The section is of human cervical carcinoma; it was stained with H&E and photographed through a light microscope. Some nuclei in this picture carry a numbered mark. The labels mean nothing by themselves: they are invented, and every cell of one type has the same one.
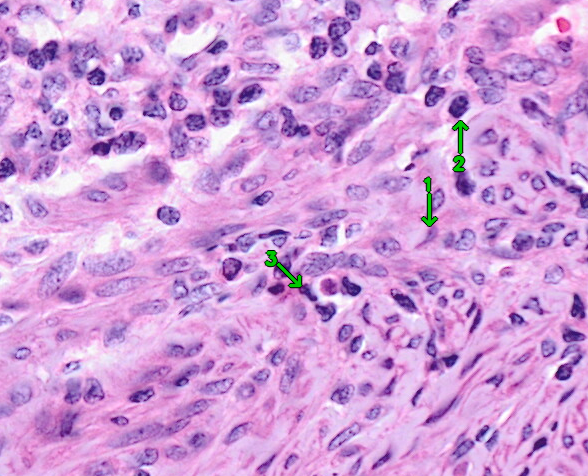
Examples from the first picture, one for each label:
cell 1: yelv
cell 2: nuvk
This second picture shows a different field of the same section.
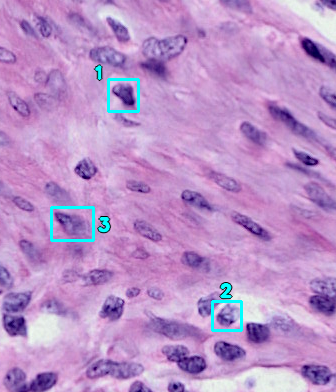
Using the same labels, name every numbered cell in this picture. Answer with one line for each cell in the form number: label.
1: nuvk
2: nuvk
3: yelv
